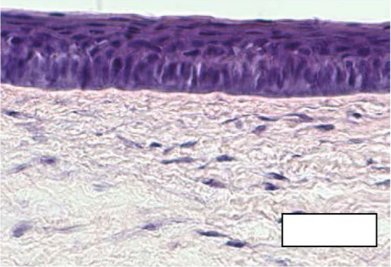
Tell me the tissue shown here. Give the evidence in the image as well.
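A stratified layer of densely packed purple-nucleated cells lies on top. Below it lies a pale, fibrous stroma with few scattered elongated nuclei. The epithelial layer is uniform in thickness with a smooth surface. On this evidence: corneal epithelial.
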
